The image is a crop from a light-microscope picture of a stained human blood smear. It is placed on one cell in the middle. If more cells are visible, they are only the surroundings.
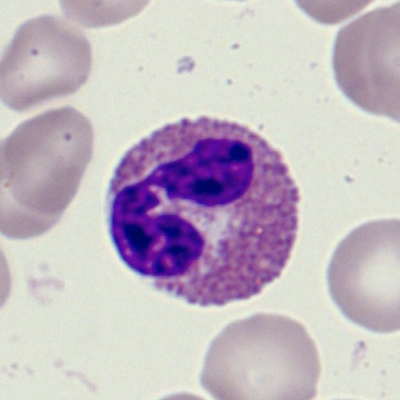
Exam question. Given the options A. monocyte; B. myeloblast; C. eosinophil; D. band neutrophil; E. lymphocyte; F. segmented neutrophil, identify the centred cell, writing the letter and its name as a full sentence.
The central cell in this crop is an eosinophil, corresponding to option C, the correct option.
